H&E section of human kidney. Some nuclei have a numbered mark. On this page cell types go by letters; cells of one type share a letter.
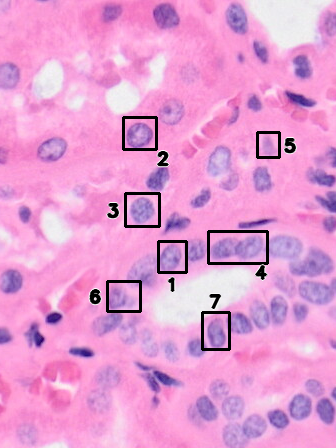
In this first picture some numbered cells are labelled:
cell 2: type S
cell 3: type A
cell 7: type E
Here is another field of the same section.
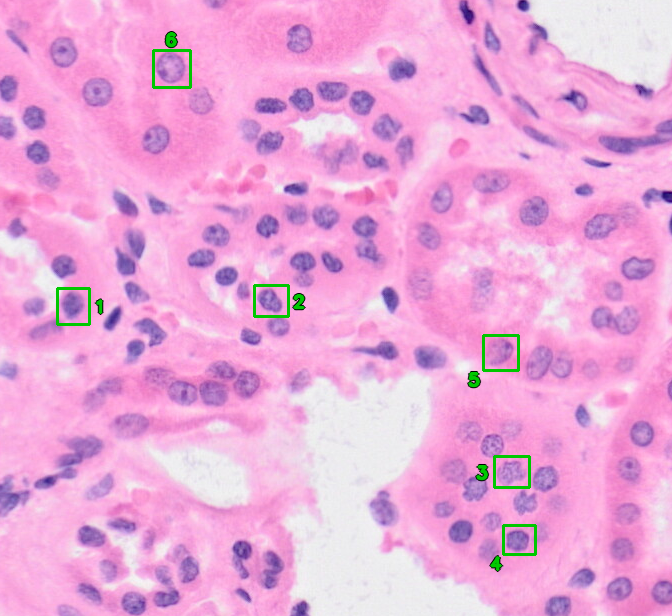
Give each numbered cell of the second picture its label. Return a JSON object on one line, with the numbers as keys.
{"1": "type A", "2": "type E", "3": "type A", "4": "type A", "5": "type S", "6": "type S"}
